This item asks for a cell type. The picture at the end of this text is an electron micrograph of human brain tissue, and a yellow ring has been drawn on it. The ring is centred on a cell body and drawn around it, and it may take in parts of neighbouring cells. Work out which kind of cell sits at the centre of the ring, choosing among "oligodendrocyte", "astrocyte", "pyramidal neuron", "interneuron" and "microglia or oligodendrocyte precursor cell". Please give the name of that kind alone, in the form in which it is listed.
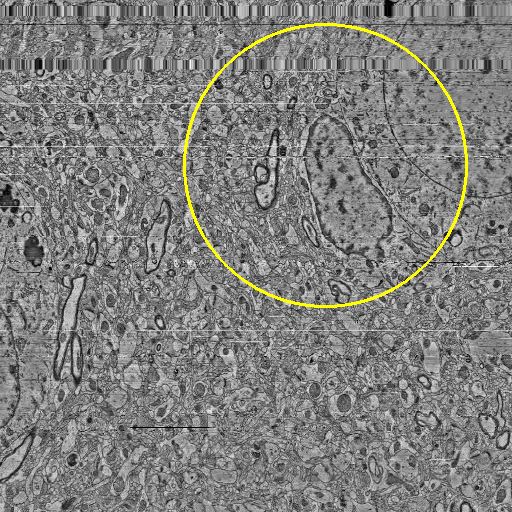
microglia or oligodendrocyte precursor cell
